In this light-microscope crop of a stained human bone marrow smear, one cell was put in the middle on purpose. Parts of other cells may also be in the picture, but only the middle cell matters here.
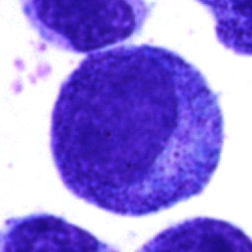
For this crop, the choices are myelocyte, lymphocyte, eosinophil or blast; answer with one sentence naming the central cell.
The cell of interest, in the center, is a myelocyte.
